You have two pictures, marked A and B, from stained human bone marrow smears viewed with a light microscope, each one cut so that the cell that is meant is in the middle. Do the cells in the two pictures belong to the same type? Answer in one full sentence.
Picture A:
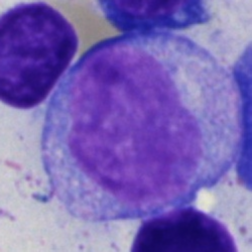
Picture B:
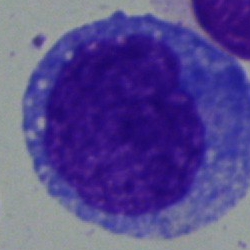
No; the cell in picture A is a blast, while the one in picture B is a promyelocyte.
